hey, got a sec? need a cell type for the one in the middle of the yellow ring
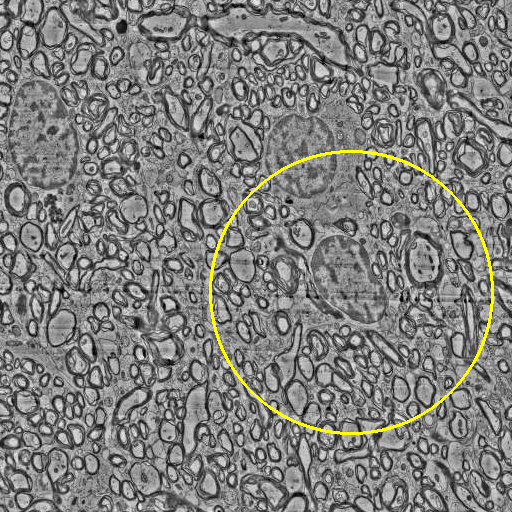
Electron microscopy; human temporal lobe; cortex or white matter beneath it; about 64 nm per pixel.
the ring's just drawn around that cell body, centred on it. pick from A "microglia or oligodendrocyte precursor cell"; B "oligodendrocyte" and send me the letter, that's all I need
A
